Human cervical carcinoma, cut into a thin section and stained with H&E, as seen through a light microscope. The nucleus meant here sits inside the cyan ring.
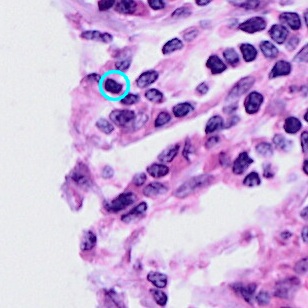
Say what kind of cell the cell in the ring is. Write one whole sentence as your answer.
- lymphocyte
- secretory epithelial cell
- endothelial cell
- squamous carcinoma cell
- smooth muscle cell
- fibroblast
On this particular slide, the cell in the ring is a lymphocyte.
